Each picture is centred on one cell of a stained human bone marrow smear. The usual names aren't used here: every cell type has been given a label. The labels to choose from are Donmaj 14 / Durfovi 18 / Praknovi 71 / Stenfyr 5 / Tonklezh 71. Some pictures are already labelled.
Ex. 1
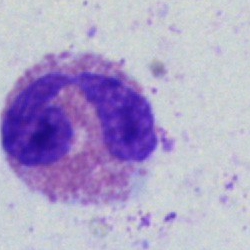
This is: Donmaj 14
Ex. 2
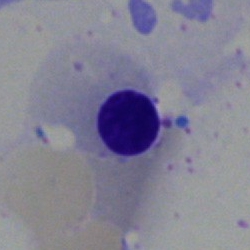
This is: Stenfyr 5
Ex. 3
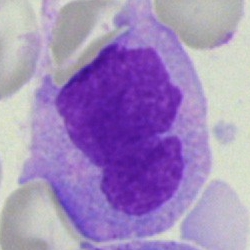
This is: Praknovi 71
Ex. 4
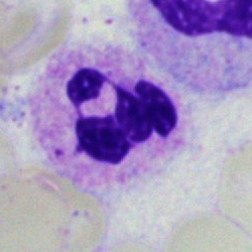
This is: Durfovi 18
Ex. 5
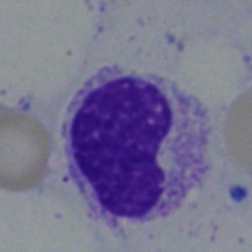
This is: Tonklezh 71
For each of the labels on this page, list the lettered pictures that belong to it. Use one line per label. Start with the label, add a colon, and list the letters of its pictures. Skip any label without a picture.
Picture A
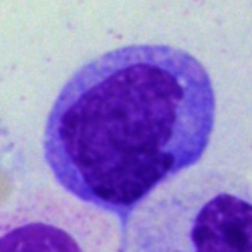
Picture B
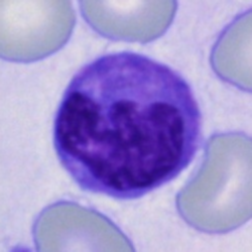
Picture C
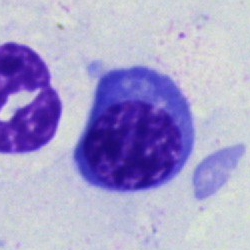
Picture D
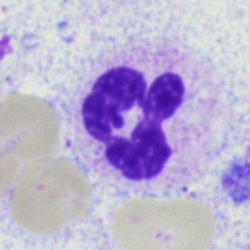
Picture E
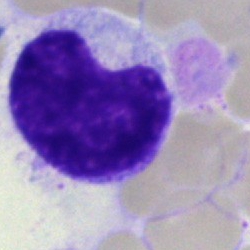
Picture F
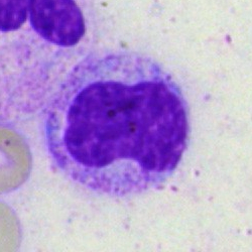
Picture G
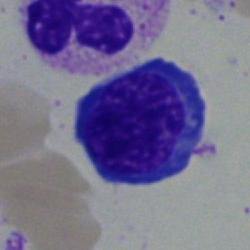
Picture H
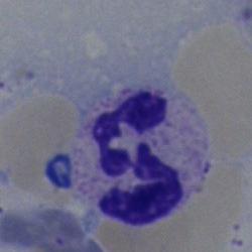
Durfovi 18: D, H
Praknovi 71: A, B
Stenfyr 5: C, G
Tonklezh 71: E, F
